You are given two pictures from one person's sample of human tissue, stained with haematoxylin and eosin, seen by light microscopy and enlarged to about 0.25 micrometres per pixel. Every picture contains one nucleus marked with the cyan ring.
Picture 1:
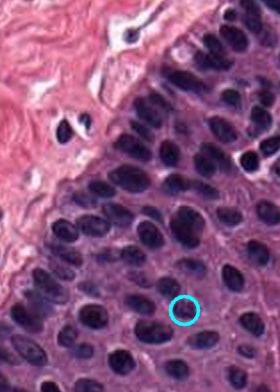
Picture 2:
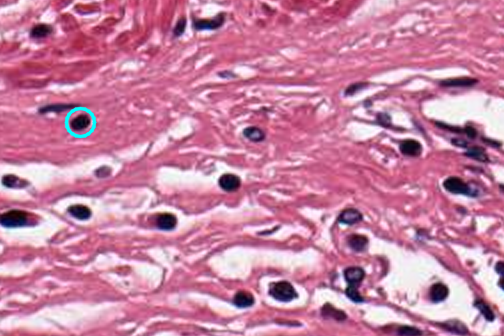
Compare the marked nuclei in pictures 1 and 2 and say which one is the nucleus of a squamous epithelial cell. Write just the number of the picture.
1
